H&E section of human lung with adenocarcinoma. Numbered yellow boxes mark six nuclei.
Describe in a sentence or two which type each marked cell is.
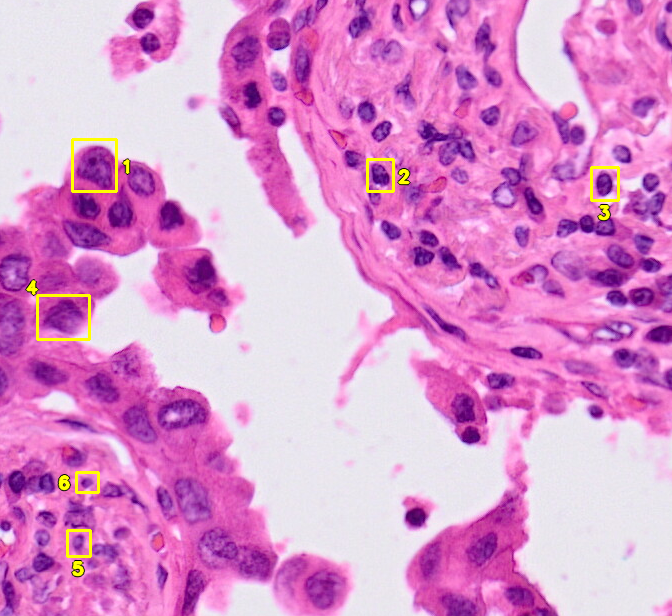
Cells 1 and 4 are carcinoma cells. Cells 2, 3, 5 and 6 are lymphocytes.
